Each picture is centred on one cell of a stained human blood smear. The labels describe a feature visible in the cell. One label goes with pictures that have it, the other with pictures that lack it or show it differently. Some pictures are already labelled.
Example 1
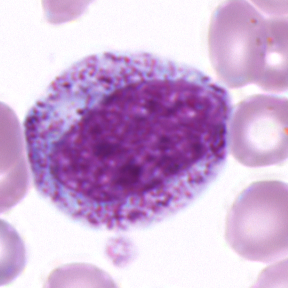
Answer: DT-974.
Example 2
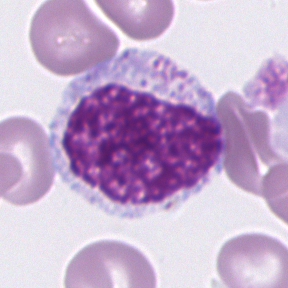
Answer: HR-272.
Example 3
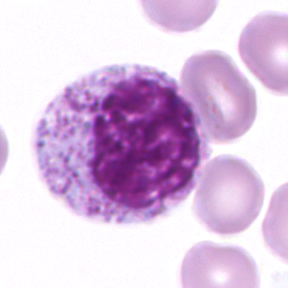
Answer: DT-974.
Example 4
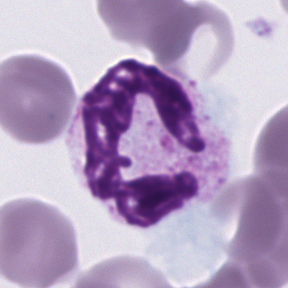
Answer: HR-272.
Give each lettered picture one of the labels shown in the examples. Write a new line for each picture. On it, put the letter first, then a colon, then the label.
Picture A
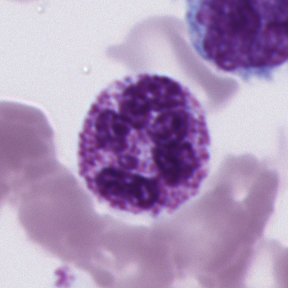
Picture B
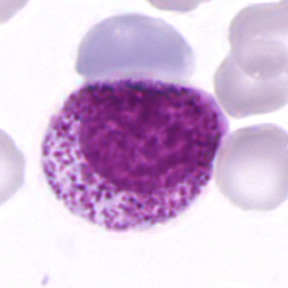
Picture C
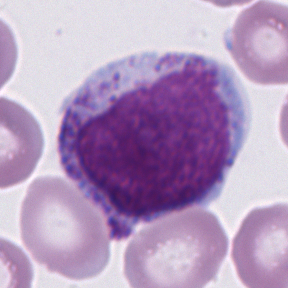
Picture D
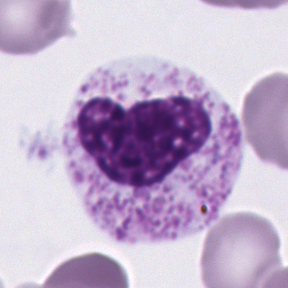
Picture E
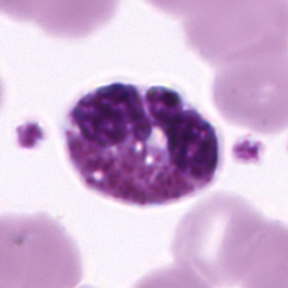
A: DT-974.
B: DT-974.
C: DT-974.
D: DT-974.
E: HR-272.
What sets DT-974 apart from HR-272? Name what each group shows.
DT-974, coarse or large granules; HR-272, fine or small granules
